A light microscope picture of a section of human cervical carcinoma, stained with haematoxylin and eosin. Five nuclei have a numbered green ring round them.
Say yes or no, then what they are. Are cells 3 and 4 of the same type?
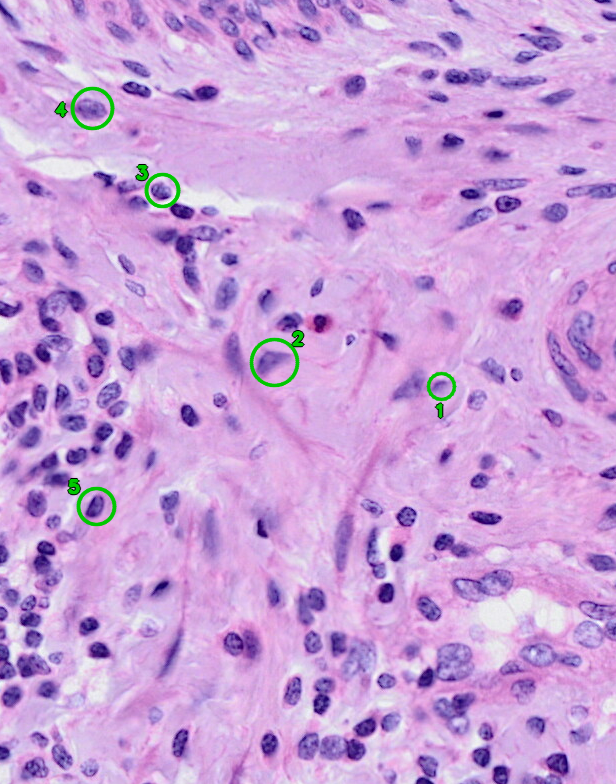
No, cell 3 is a lymphocyte, whereas a macrophage or monocyte is what cell 4 is.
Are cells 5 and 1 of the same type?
No, cell 5 is typed as a lymphocyte, and cell 1 is typed as a fibroblast.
